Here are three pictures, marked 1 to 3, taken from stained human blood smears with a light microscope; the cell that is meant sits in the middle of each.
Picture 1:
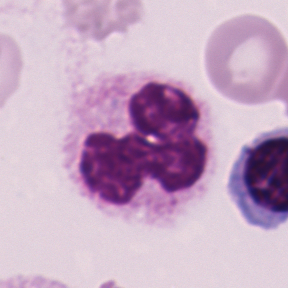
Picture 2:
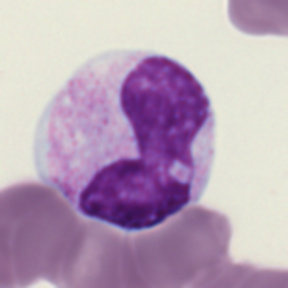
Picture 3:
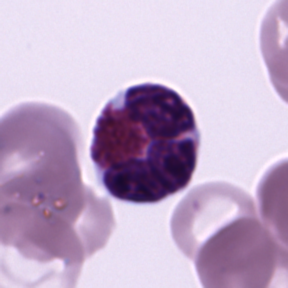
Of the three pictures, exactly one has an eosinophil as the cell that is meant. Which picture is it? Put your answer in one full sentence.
It is picture 3 that shows the eosinophil.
